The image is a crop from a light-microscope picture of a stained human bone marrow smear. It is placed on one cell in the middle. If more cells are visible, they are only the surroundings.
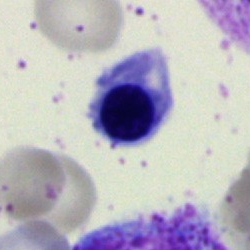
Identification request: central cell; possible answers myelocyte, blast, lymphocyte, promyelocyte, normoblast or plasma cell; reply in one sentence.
Located at the centre of the crop is a normoblast.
